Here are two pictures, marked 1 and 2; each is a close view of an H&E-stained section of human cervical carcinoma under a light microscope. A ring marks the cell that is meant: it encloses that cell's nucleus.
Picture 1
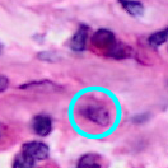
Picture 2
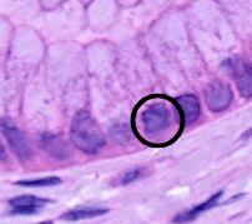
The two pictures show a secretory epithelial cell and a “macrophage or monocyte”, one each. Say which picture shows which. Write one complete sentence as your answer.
The cell in picture 1 is a “macrophage or monocyte”, and the one in picture 2 is a secretory epithelial cell.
